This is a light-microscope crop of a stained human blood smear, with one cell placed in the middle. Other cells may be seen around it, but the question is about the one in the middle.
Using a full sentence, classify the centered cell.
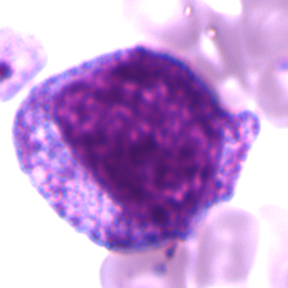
For this crop, the cell in the middle is a promyelocyte.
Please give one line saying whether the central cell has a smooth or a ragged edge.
A smooth outline is absent here, replaced by ragged stretches or projections.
